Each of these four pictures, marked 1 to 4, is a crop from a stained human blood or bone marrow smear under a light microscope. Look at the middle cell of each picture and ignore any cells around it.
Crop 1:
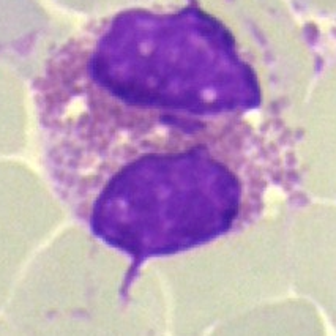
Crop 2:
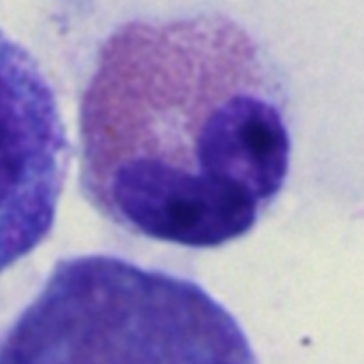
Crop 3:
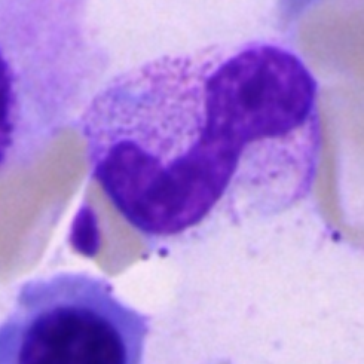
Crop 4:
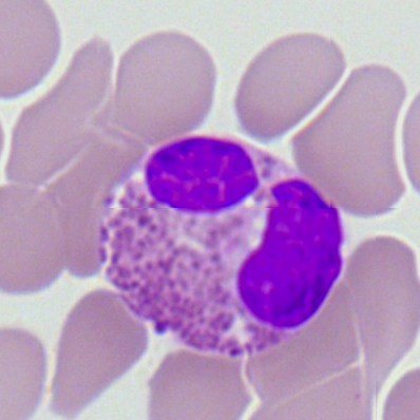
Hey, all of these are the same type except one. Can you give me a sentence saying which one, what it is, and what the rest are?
Found in all crops but one are eosinophils; the exception, crop 3, contains a band neutrophil.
